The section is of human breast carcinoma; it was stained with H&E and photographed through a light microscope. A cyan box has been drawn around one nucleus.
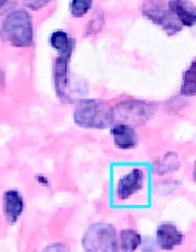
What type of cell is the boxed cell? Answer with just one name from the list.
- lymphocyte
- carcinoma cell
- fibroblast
lymphocyte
